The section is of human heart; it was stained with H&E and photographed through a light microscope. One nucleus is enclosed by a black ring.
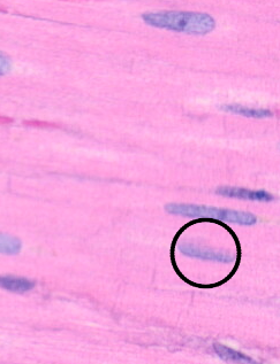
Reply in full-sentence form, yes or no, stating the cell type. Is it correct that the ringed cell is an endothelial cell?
No, the ringed cell is classed as a cardiomyocyte, not an endothelial cell.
